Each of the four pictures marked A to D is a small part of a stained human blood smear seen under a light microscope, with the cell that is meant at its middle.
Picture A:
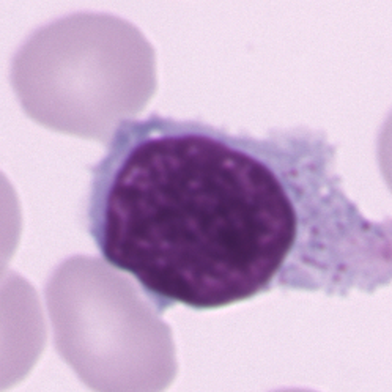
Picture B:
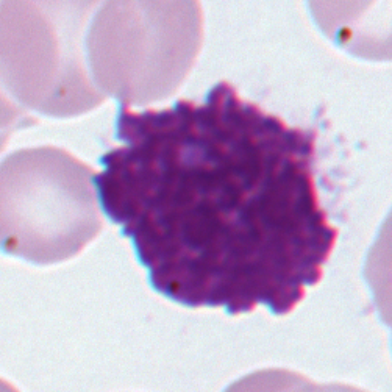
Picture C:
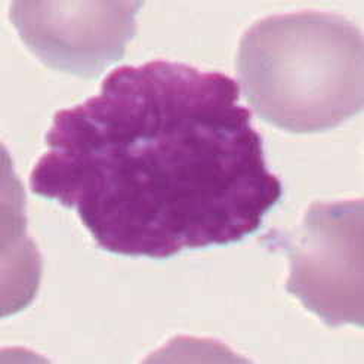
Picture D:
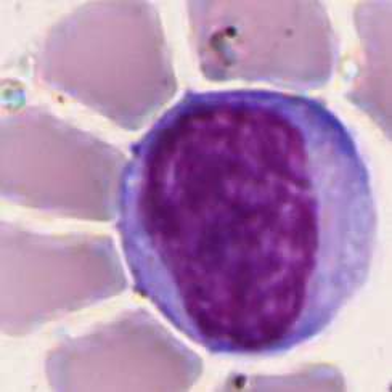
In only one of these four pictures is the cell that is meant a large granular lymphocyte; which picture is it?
A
